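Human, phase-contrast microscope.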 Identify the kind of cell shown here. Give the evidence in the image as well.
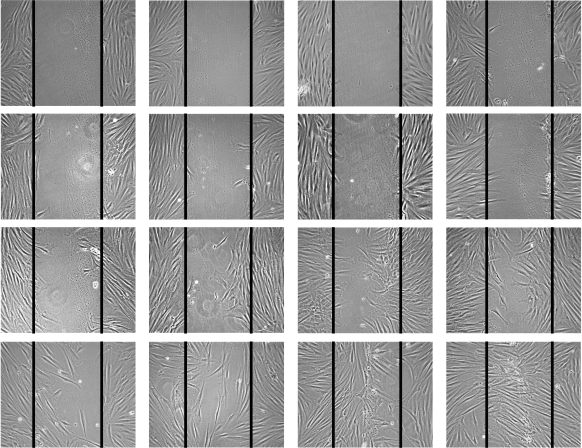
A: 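Fibroblasts. Cells are elongated and spindle-shaped. Cells lie side by side in parallel, stream-like arrays. Cells grow as an adherent monolayer on a flat surface.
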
